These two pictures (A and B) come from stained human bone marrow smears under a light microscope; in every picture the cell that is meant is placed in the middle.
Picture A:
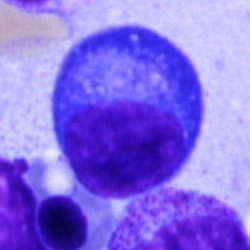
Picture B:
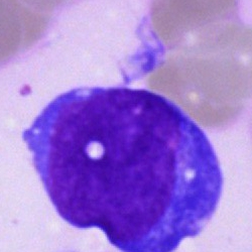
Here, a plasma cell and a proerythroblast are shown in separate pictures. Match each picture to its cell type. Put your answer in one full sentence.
Picture A shows a plasma cell and picture B shows a proerythroblast.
